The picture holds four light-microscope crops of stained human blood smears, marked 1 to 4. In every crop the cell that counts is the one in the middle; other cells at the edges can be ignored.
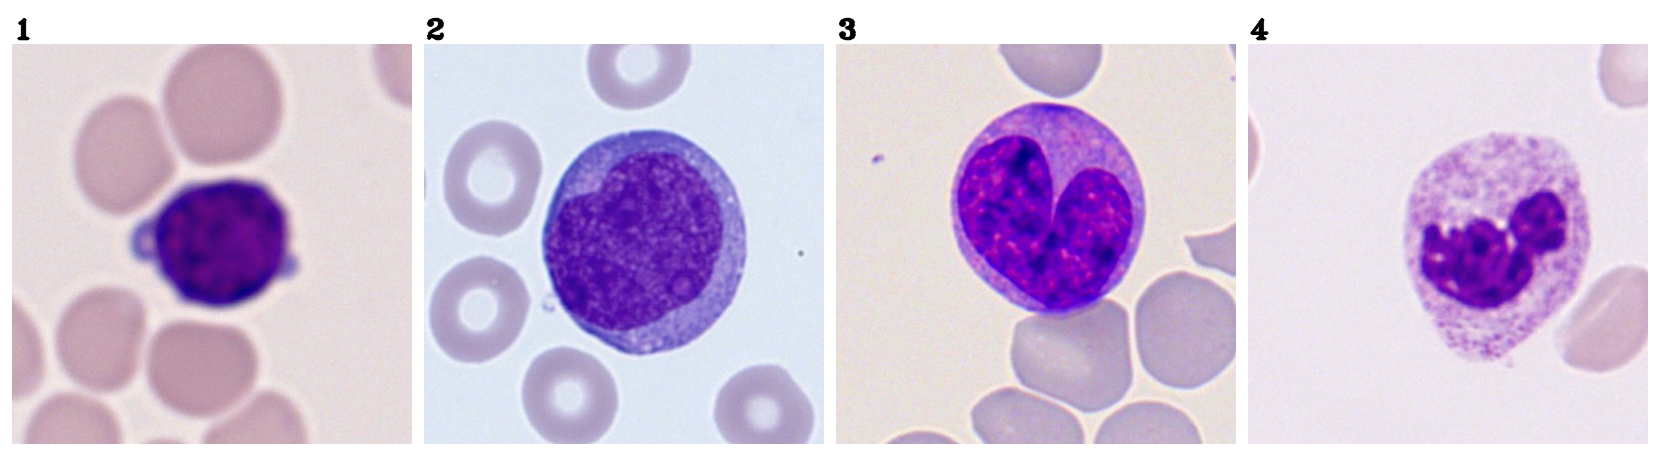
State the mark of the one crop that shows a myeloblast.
2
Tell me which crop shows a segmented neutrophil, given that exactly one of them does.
4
